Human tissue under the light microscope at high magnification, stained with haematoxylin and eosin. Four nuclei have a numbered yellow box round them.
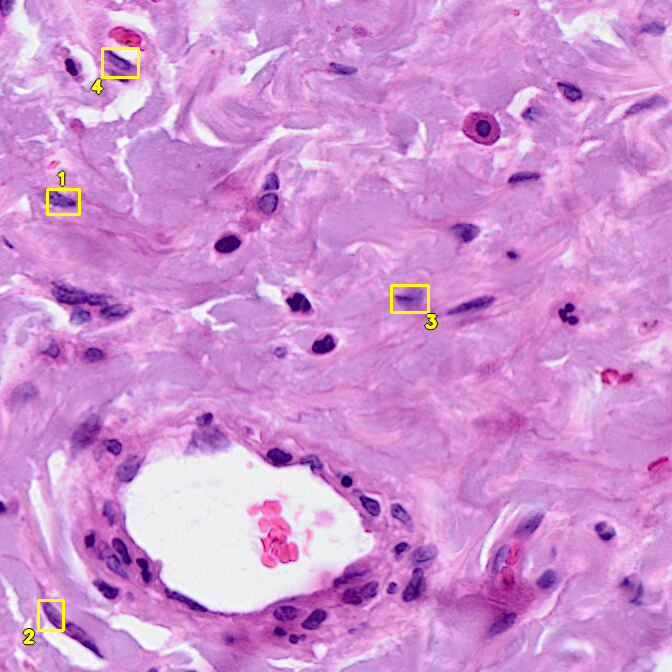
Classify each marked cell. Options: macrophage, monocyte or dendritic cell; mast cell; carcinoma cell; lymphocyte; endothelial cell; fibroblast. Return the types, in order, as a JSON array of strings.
["fibroblast", "fibroblast", "fibroblast", "endothelial cell"]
